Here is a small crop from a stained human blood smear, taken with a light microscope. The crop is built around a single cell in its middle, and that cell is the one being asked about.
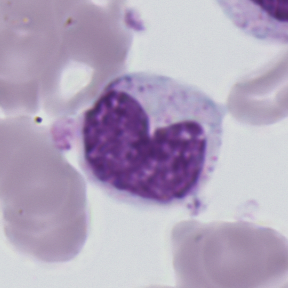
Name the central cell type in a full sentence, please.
By classification, the middle cell of this crop is a metamyelocyte.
